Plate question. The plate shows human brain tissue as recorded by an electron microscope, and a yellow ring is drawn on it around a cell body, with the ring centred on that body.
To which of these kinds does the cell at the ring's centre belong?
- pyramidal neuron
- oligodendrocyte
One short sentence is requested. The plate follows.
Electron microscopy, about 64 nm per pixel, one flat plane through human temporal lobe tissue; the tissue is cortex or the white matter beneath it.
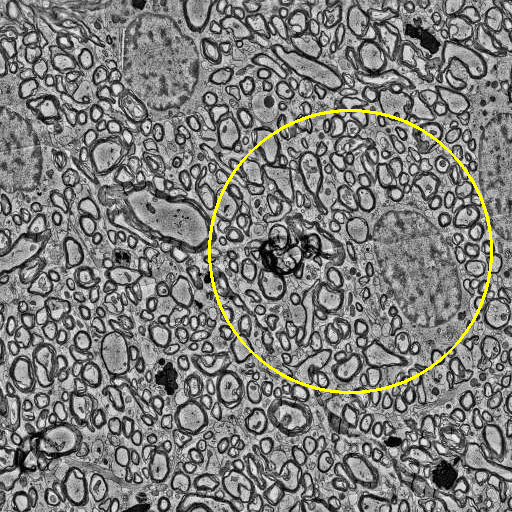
The cell at the ring's centre is an oligodendrocyte.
